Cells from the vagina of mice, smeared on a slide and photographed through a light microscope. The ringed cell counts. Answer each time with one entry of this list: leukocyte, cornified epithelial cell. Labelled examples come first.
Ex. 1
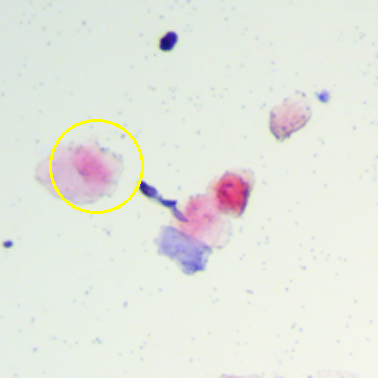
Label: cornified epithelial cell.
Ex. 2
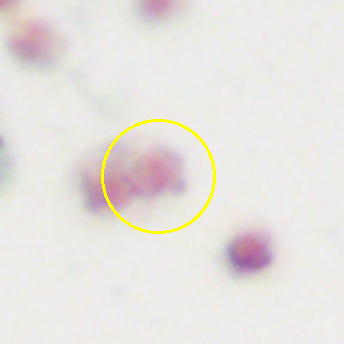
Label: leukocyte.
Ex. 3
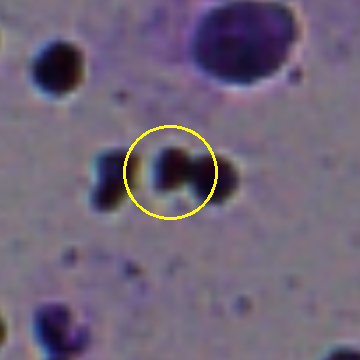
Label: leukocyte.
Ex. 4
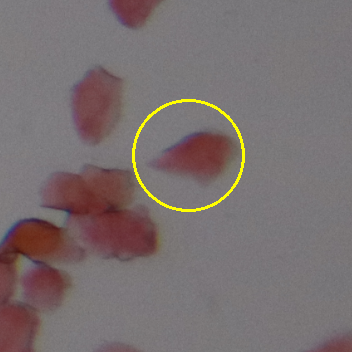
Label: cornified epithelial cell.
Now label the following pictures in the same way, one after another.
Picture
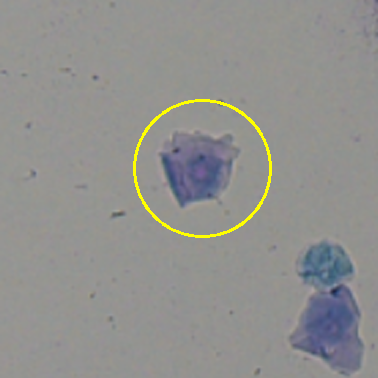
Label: cornified epithelial cell.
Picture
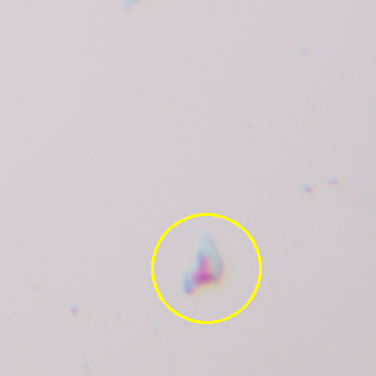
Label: cornified epithelial cell.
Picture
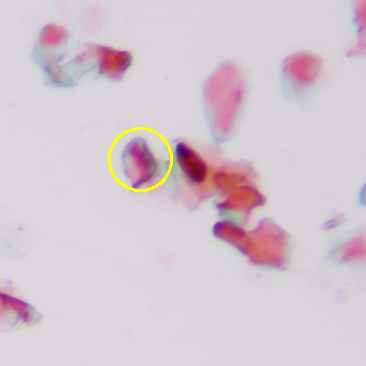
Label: cornified epithelial cell.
